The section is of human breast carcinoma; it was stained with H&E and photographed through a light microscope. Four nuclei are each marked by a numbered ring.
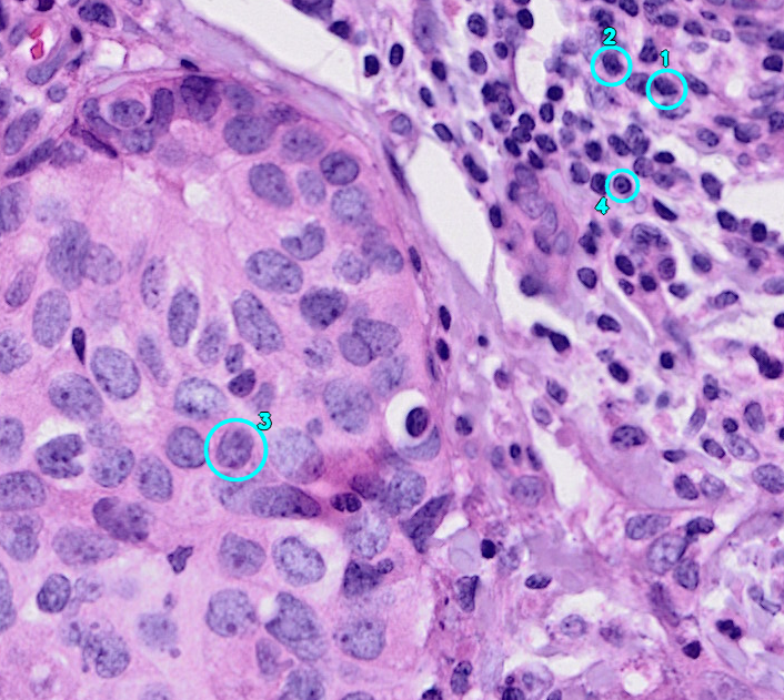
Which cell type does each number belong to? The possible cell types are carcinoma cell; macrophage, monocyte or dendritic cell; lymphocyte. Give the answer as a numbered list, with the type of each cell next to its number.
1. lymphocyte
2. lymphocyte
3. carcinoma cell
4. lymphocyte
